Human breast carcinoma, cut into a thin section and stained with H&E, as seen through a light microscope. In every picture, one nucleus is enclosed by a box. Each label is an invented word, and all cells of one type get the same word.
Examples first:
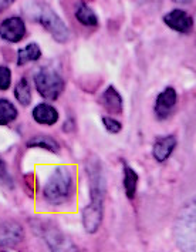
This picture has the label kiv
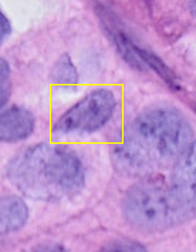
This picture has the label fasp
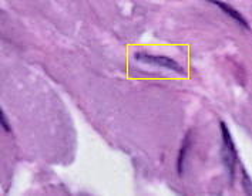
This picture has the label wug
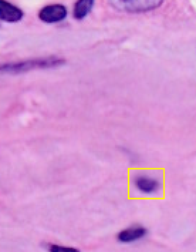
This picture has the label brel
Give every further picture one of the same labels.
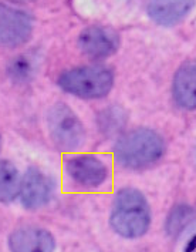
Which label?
fasp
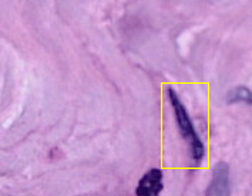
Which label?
wug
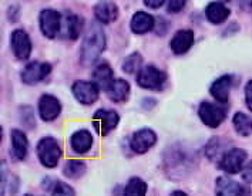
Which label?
brel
